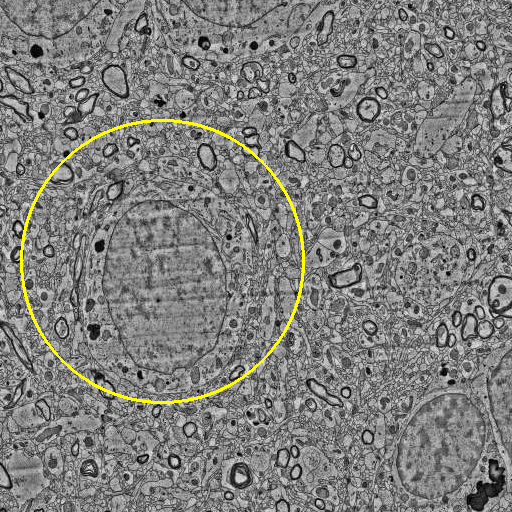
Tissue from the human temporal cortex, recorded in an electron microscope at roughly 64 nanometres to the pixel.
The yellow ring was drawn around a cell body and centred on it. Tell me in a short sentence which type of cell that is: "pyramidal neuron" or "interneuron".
The cell at the ring's centre is a pyramidal neuron.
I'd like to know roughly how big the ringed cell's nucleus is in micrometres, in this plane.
In this plane, the nucleus is roughly 11 by 8 micrometres.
